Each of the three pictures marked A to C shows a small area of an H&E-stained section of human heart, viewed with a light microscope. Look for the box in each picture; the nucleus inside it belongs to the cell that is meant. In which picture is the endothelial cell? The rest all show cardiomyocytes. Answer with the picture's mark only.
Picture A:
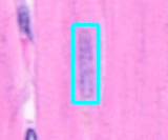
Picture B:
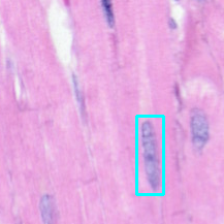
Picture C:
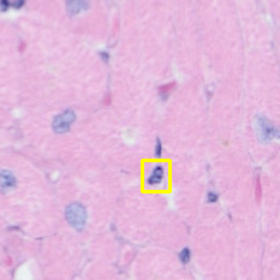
C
